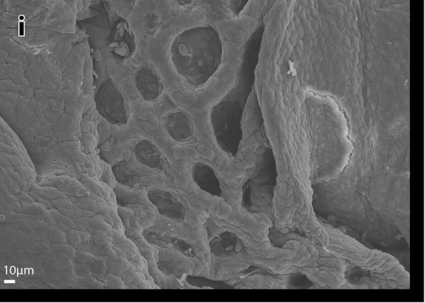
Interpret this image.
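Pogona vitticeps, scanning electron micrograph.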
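A network of raised ridges encloses rounded to oval pits of differing sizes, some deep and dark. The ridges and the adjacent smooth surface are paved by small polygonal cells with visible borders. A raised fold with a rounded tip lies beside the lattice on one side.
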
